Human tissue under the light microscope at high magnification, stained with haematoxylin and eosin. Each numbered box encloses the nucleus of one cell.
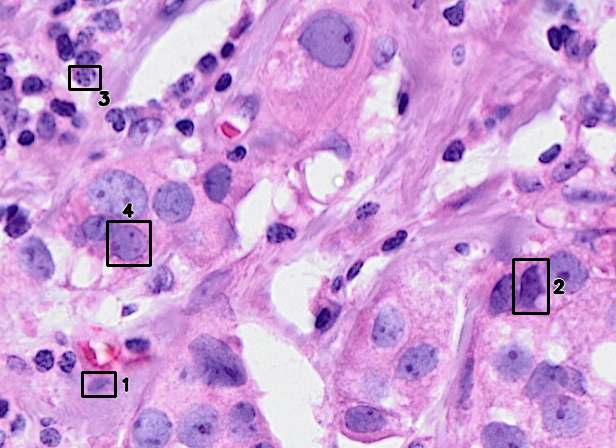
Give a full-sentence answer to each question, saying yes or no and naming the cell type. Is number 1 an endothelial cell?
Yes, cell 1 among the marked cells is an endothelial cell.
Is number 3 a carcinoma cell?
No. Cell number 3 is a lymphocyte, not a carcinoma cell.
